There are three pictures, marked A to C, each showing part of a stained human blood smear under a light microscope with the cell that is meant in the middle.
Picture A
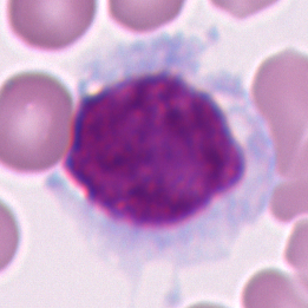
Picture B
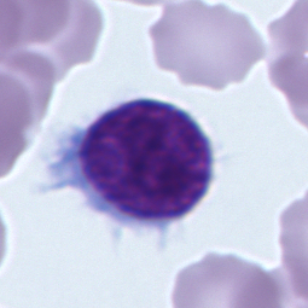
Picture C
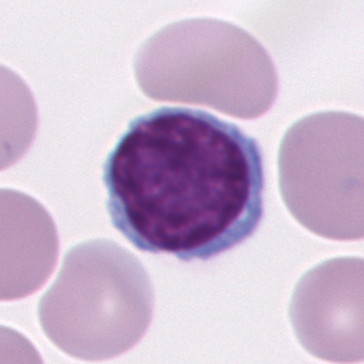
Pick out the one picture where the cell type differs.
C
